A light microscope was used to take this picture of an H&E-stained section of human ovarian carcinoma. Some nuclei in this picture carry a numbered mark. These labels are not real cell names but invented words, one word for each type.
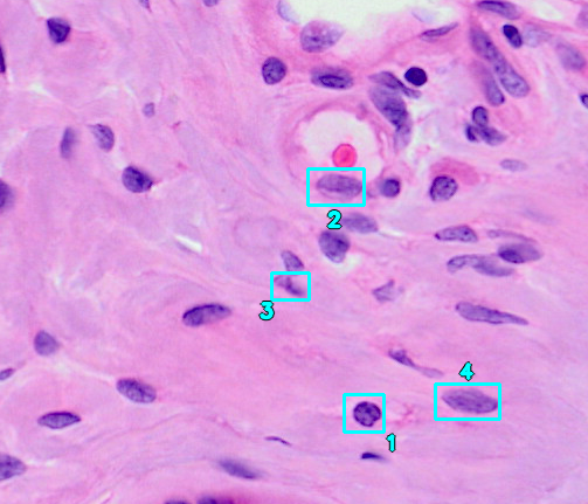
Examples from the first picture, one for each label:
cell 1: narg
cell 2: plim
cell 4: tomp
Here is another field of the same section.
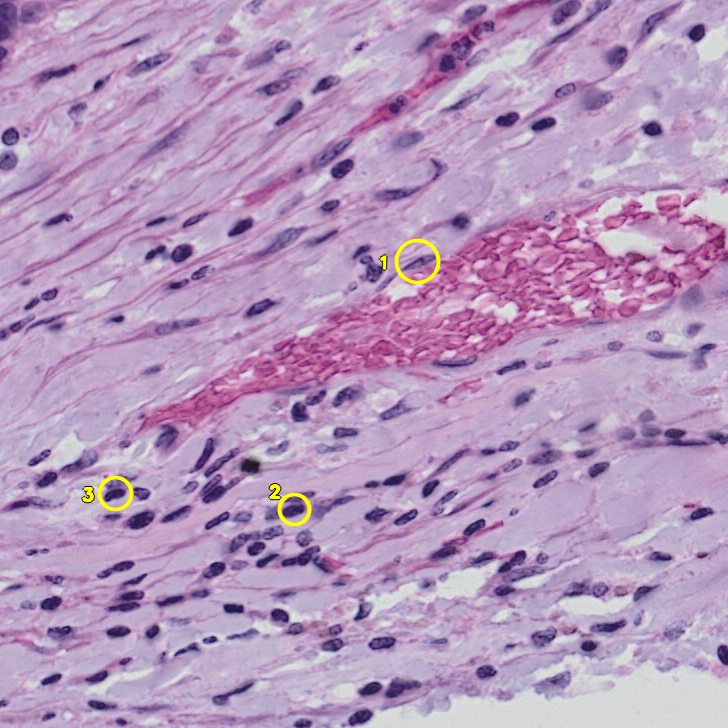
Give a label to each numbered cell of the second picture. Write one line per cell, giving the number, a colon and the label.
1: plim
2: narg
3: narg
